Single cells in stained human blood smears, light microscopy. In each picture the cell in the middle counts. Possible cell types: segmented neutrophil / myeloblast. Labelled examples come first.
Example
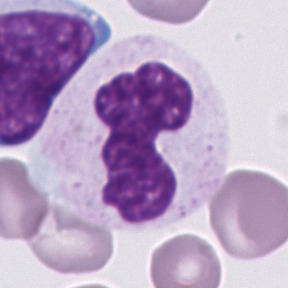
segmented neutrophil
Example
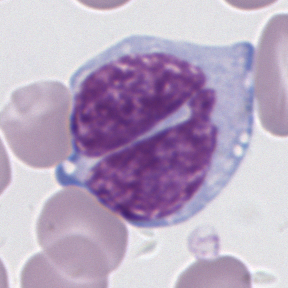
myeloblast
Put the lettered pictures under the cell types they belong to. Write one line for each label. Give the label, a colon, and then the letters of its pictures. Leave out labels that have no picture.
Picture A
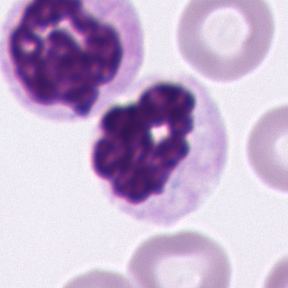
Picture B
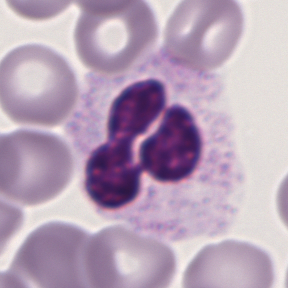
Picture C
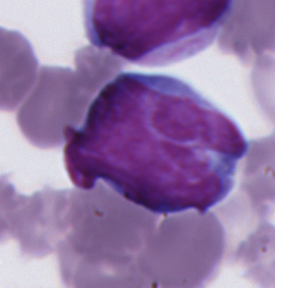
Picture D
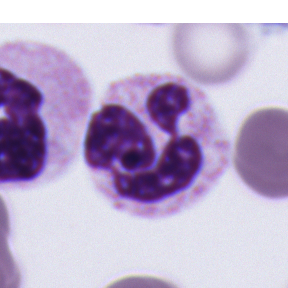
segmented neutrophil: A, B, D
myeloblast: C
